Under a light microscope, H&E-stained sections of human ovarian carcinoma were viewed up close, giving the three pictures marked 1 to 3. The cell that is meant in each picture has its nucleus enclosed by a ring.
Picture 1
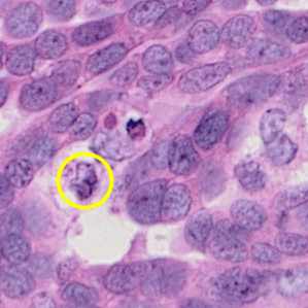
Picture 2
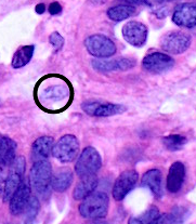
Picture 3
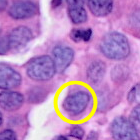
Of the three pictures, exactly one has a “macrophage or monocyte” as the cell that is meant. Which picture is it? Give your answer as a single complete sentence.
The cell in picture 1 is the “macrophage or monocyte”.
